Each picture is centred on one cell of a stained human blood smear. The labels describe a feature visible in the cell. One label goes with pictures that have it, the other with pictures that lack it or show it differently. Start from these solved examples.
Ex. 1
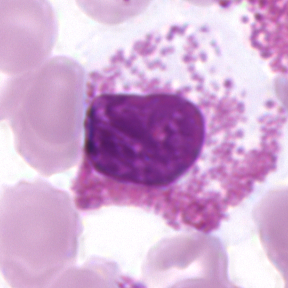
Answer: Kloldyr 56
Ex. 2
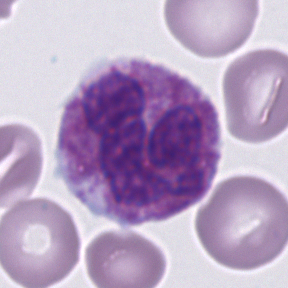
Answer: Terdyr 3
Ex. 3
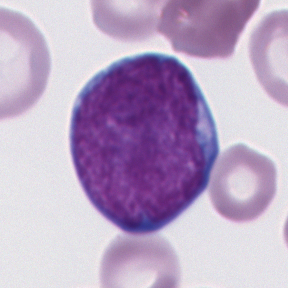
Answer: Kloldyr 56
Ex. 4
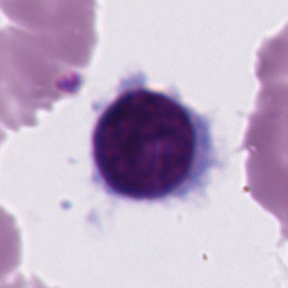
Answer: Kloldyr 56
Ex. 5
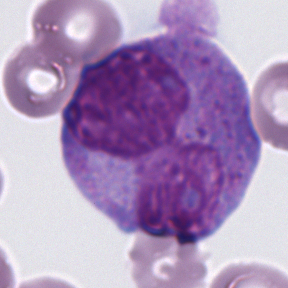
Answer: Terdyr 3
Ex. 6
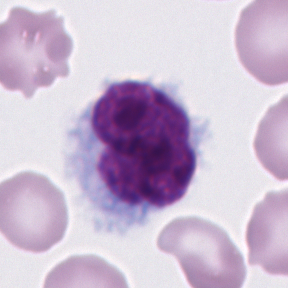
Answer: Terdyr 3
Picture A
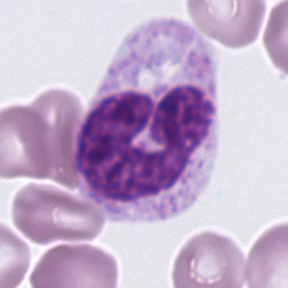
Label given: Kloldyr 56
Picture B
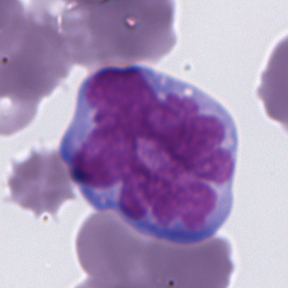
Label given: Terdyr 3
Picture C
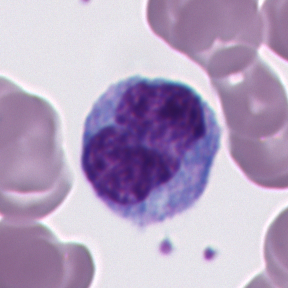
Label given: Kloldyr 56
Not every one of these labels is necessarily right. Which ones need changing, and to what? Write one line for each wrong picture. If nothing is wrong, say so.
C: not Kloldyr 56 but Terdyr 3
